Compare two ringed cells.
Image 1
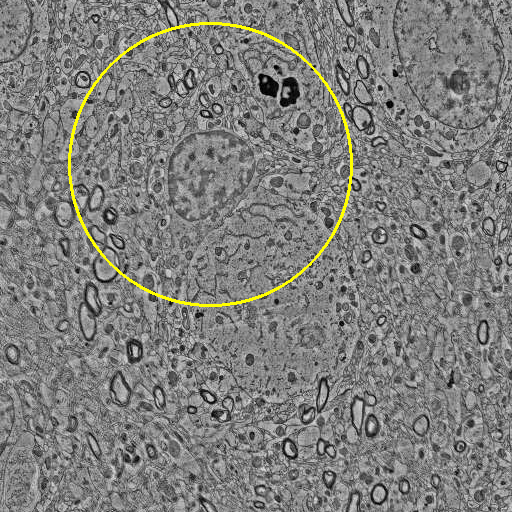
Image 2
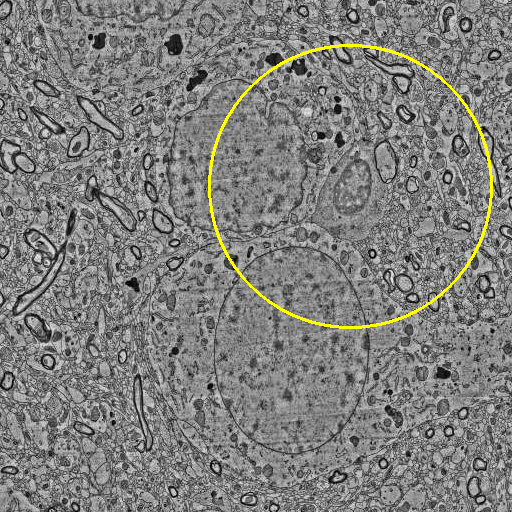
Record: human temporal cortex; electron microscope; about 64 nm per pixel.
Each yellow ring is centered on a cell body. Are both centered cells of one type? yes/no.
yes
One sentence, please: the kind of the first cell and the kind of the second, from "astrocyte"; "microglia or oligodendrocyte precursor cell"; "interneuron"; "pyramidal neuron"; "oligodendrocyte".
In both pictures the ring is centred on an oligodendrocyte.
